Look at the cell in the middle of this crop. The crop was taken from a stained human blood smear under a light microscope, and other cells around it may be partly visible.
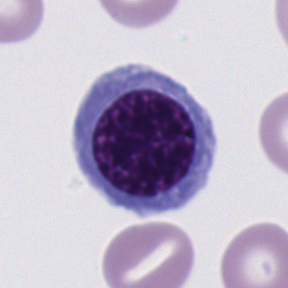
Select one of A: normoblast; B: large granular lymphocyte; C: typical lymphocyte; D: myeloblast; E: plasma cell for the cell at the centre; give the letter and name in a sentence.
The correct response is option A, naming the cell in the middle as a normoblast.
